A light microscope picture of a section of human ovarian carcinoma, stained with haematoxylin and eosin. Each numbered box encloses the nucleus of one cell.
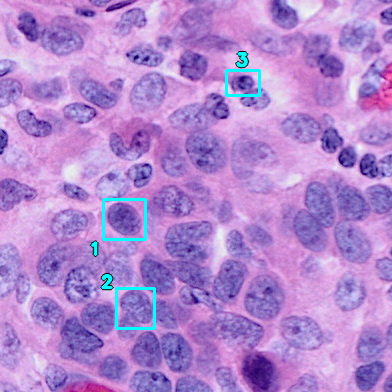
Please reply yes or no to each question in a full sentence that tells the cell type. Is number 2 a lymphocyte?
No, what is marked as number 2 is a carcinoma cell rather than a lymphocyte.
